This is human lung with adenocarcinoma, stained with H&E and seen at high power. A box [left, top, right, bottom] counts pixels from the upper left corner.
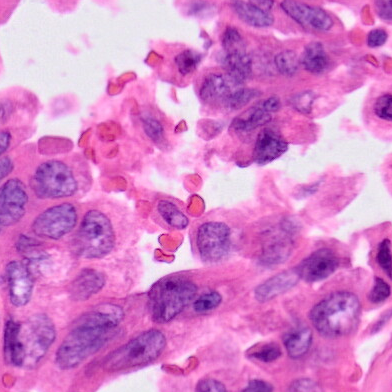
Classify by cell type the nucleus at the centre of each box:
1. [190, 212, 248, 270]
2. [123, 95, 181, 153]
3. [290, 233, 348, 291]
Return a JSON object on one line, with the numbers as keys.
{"1": "carcinoma cell", "2": "macrophage or monocyte", "3": "carcinoma cell"}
